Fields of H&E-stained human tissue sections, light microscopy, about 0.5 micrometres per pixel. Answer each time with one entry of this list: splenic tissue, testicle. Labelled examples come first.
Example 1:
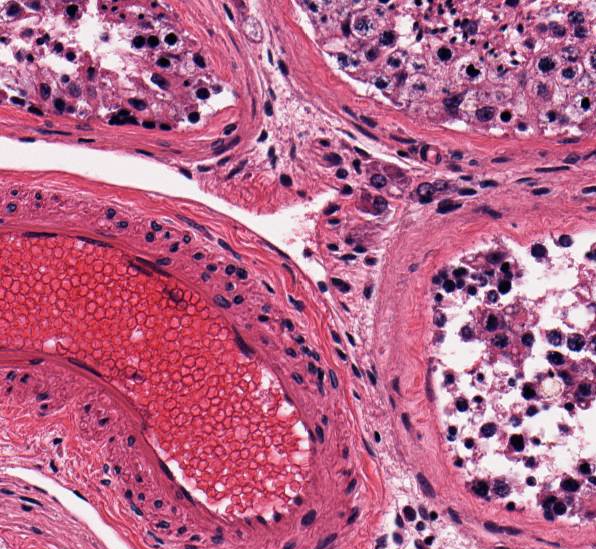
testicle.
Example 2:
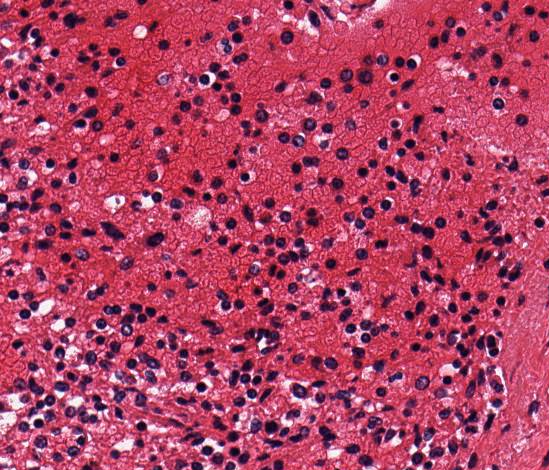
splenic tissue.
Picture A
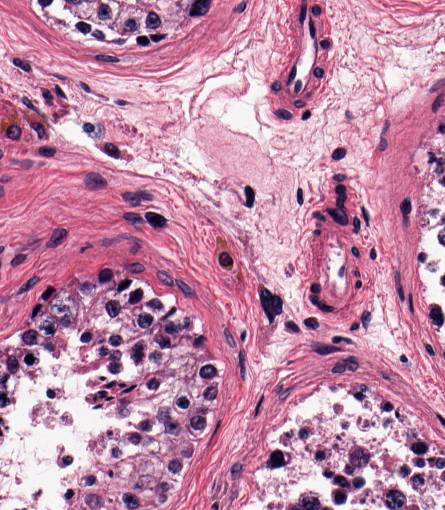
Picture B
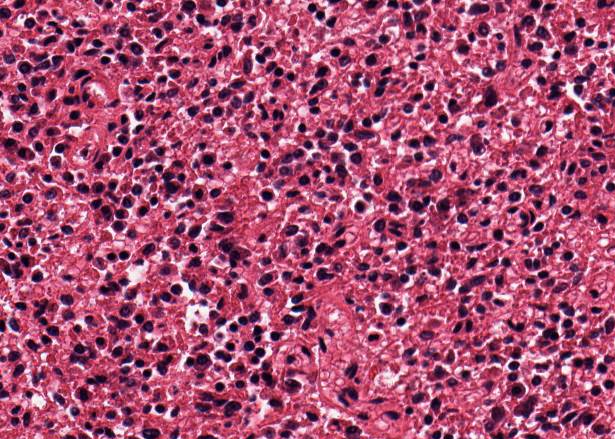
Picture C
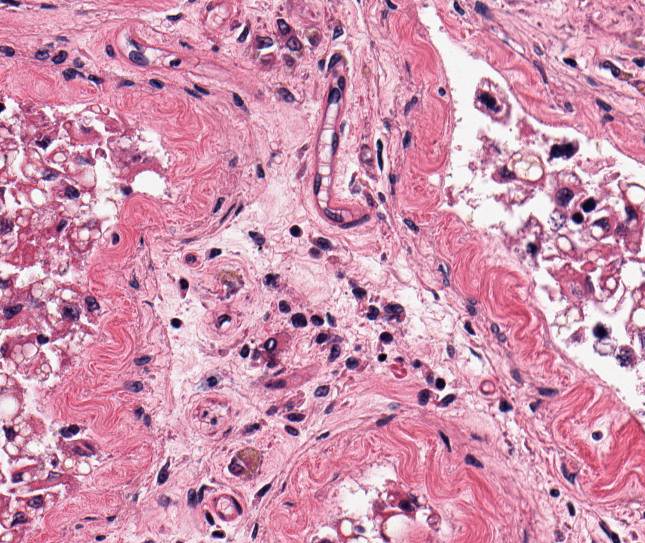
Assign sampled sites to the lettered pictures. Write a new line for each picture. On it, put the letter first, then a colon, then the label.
A: testicle.
B: splenic tissue.
C: testicle.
